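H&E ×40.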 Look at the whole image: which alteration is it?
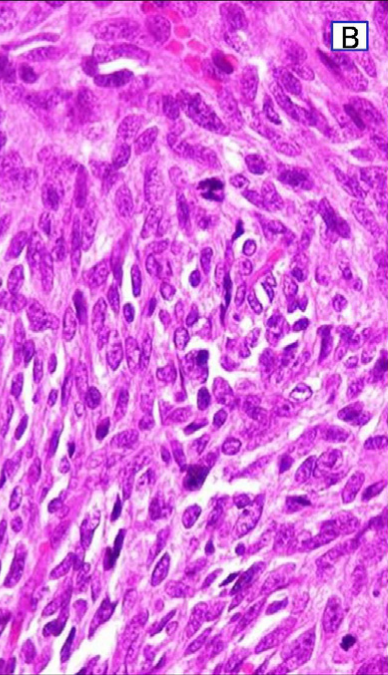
mitosis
